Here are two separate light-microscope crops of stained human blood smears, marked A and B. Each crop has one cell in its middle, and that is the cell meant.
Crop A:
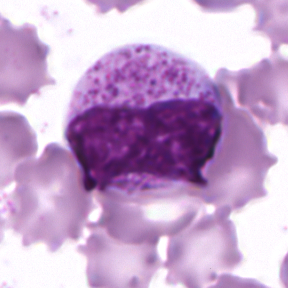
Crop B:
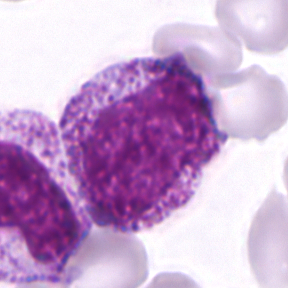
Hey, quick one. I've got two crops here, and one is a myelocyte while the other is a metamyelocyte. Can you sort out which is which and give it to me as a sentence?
Crop A features a metamyelocyte, and crop B features a myelocyte.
